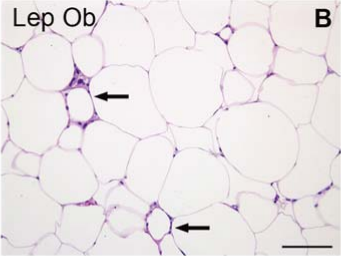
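Adipose tissue of large, rounded to polygonal fat cells of very unequal size, each an empty unstained vacuole bounded by a thin pink rim with a few flattened dark nuclei at the edge. In places small fat cells are encircled by dense clusters of dark purple nuclei, forming crown-like structures, while most of the tissue holds few nuclei between cells.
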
